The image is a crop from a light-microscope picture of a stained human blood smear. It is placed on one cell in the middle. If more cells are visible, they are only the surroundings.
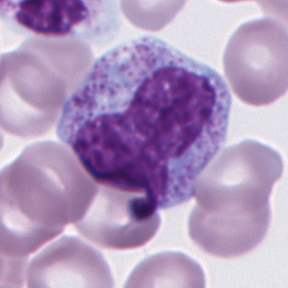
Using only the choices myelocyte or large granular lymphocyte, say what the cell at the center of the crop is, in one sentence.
Where the crop is centred, there is a myelocyte.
